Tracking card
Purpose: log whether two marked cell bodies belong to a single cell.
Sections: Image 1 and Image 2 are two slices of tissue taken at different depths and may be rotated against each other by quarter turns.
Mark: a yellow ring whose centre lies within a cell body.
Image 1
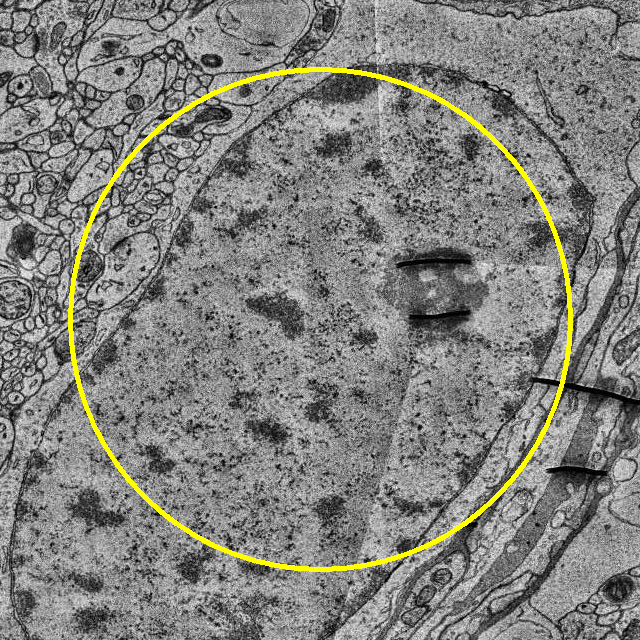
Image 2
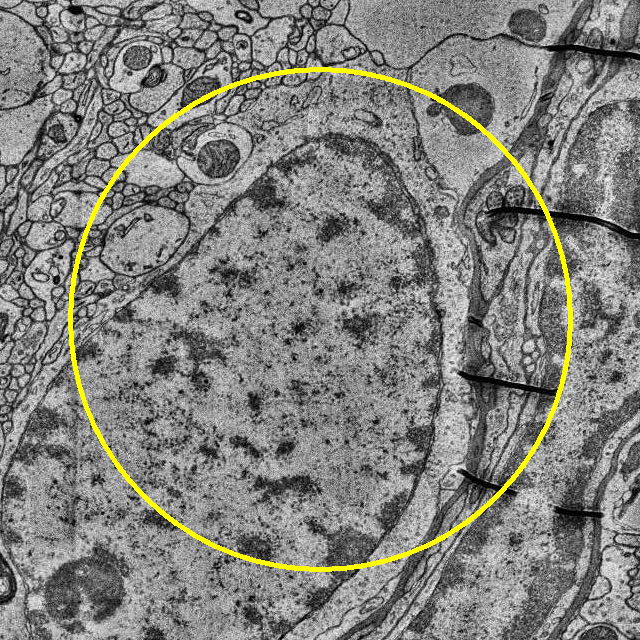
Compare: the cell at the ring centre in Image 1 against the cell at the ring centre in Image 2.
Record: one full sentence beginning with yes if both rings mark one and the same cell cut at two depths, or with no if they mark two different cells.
Yes, both rings identify a single, shared cell.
